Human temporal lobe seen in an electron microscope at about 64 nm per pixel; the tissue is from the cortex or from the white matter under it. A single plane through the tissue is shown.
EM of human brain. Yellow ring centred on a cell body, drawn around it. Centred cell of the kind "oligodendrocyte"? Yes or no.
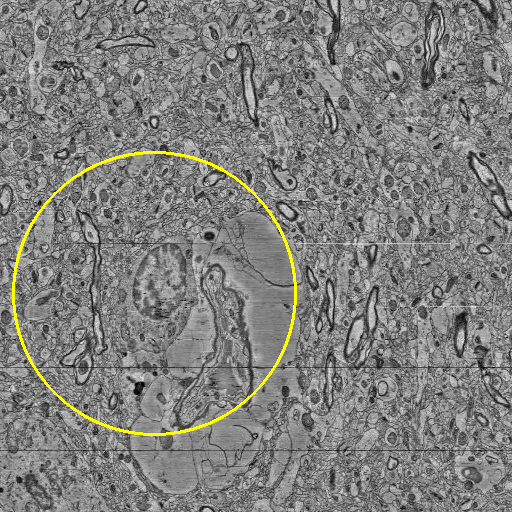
yes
